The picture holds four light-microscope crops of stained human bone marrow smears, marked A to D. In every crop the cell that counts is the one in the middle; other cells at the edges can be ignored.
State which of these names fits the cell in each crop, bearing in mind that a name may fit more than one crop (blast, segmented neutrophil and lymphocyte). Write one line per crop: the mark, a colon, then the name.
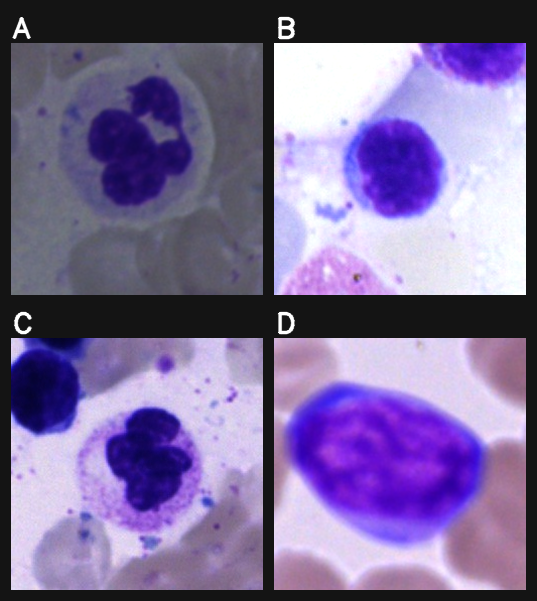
A: segmented neutrophil
B: lymphocyte
C: segmented neutrophil
D: blast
